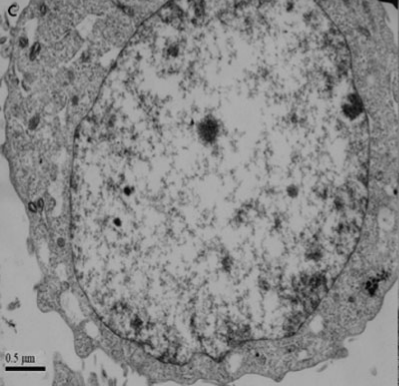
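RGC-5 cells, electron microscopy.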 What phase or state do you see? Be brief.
Nuclear membrane integrity.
